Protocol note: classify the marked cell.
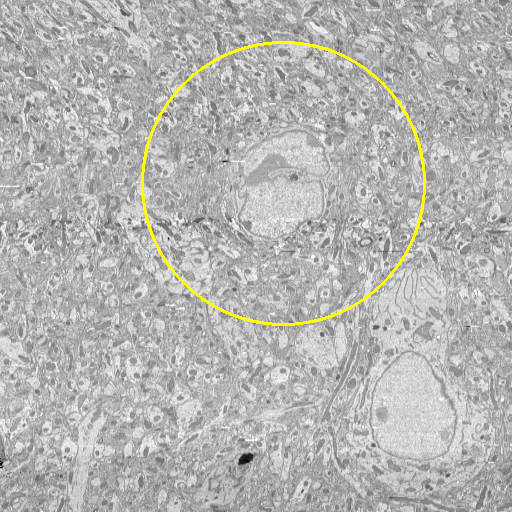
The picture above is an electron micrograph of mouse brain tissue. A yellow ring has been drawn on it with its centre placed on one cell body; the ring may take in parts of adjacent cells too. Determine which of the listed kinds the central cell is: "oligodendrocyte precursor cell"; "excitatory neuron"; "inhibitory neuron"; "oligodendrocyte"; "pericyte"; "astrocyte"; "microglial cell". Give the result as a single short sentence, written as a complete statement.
The central cell is an oligodendrocyte precursor cell.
